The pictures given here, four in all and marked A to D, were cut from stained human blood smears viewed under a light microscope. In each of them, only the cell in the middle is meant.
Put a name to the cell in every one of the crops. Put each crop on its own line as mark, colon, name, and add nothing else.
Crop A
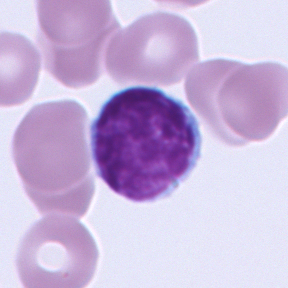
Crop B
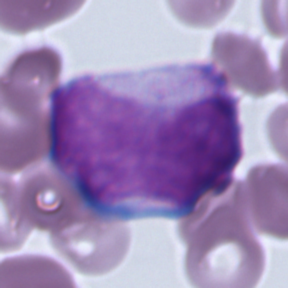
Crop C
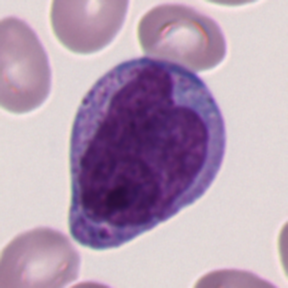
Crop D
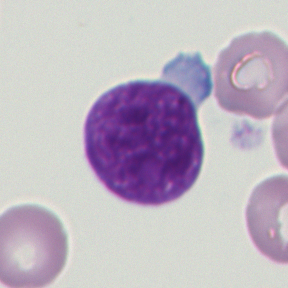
A: lymphocyte
B: atypical promyelocyte
C: atypical promyelocyte
D: myeloblast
